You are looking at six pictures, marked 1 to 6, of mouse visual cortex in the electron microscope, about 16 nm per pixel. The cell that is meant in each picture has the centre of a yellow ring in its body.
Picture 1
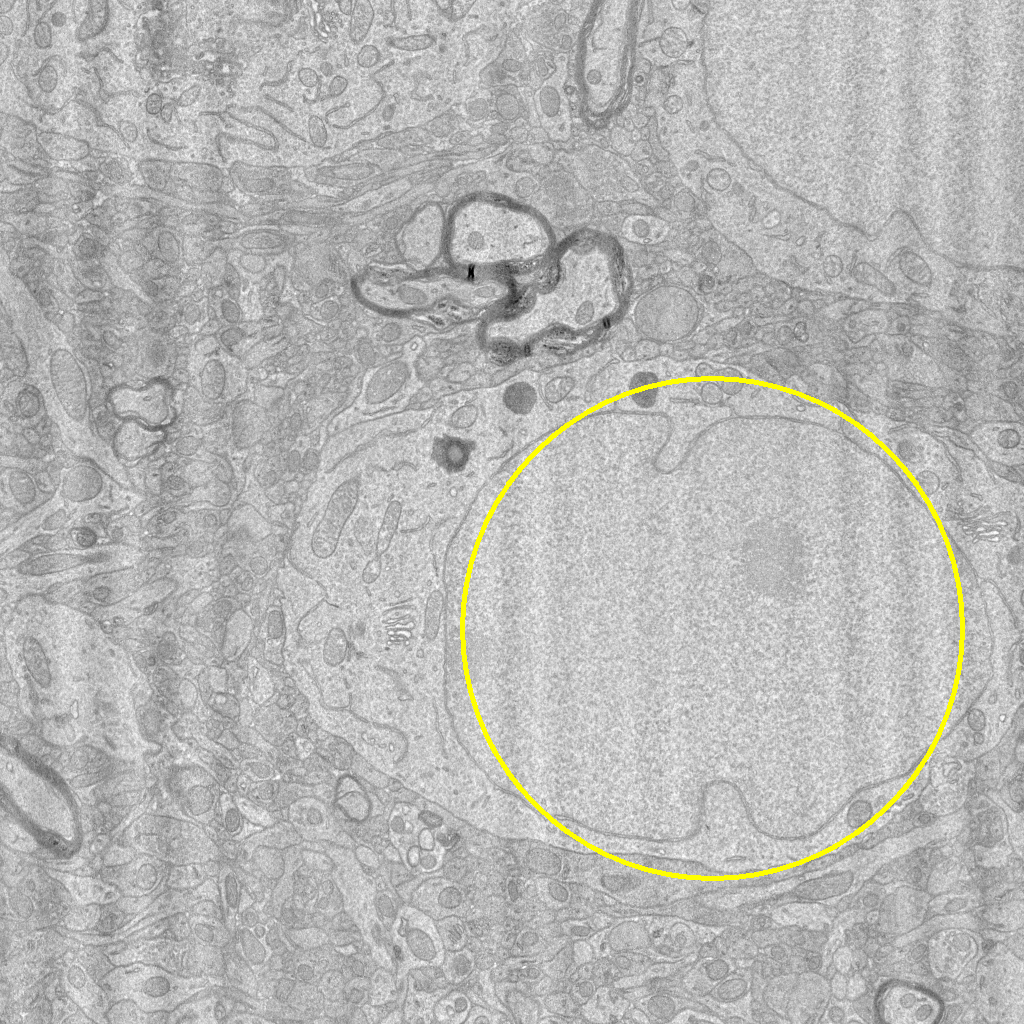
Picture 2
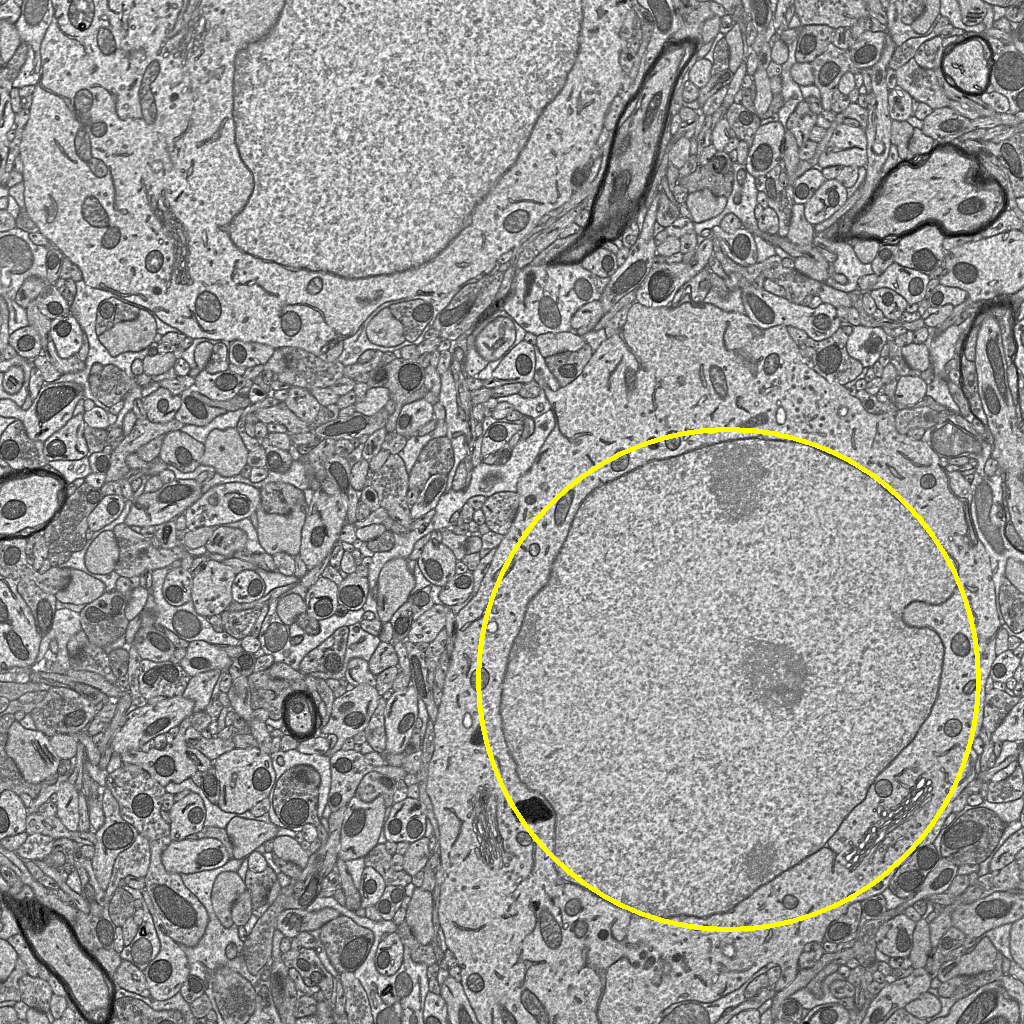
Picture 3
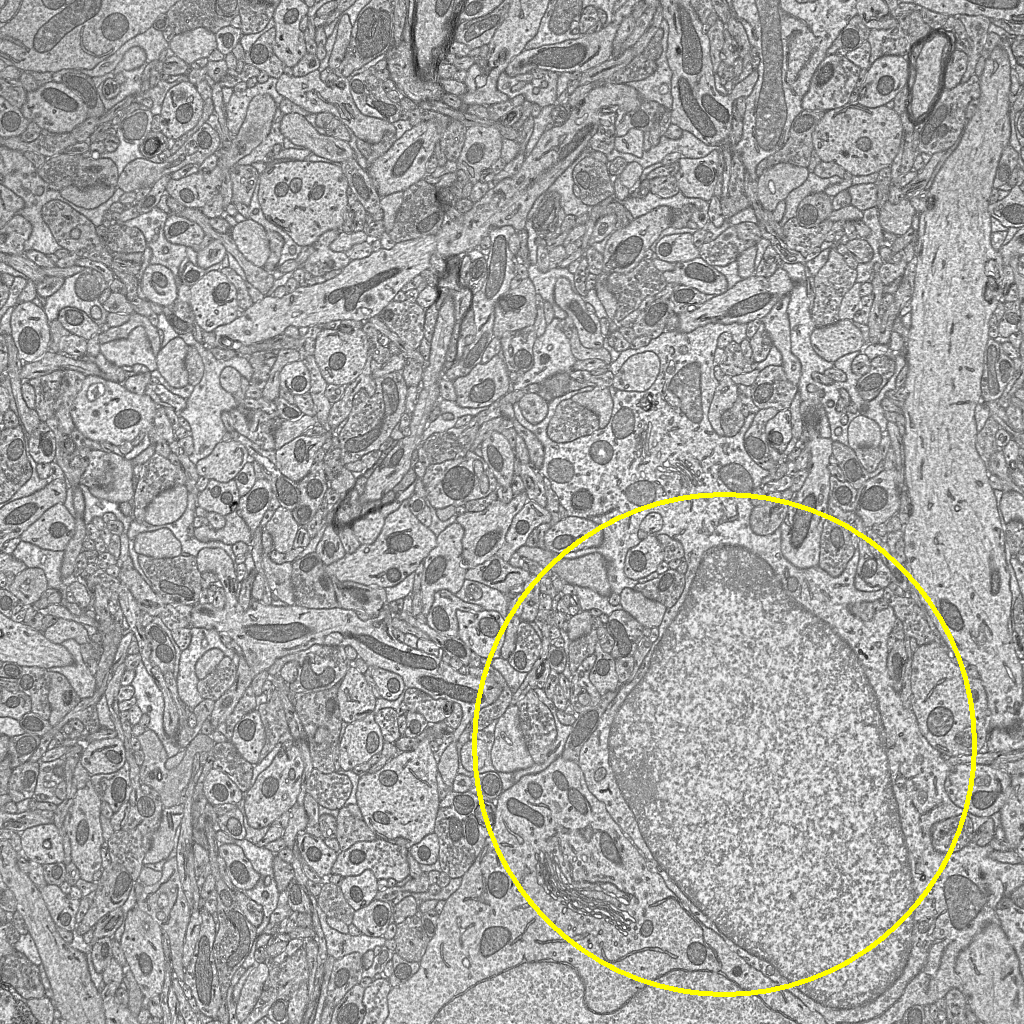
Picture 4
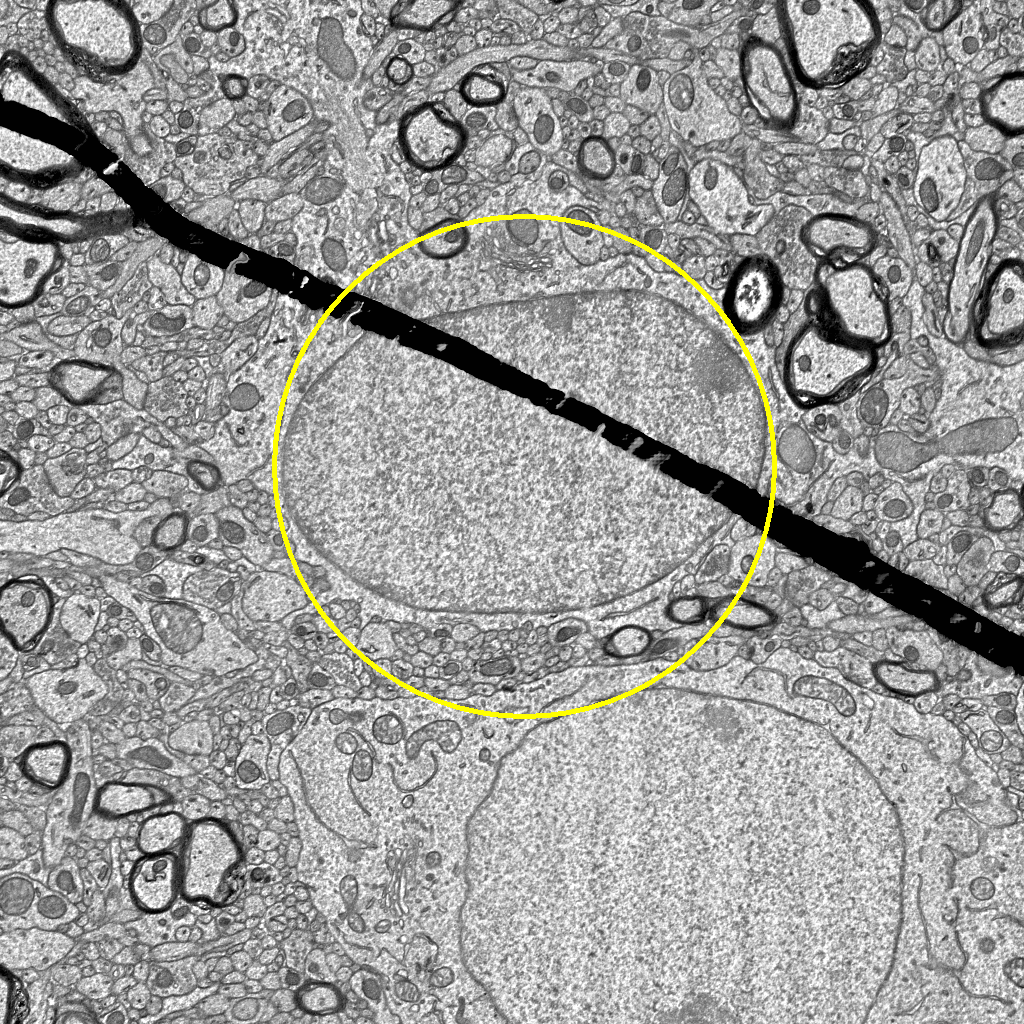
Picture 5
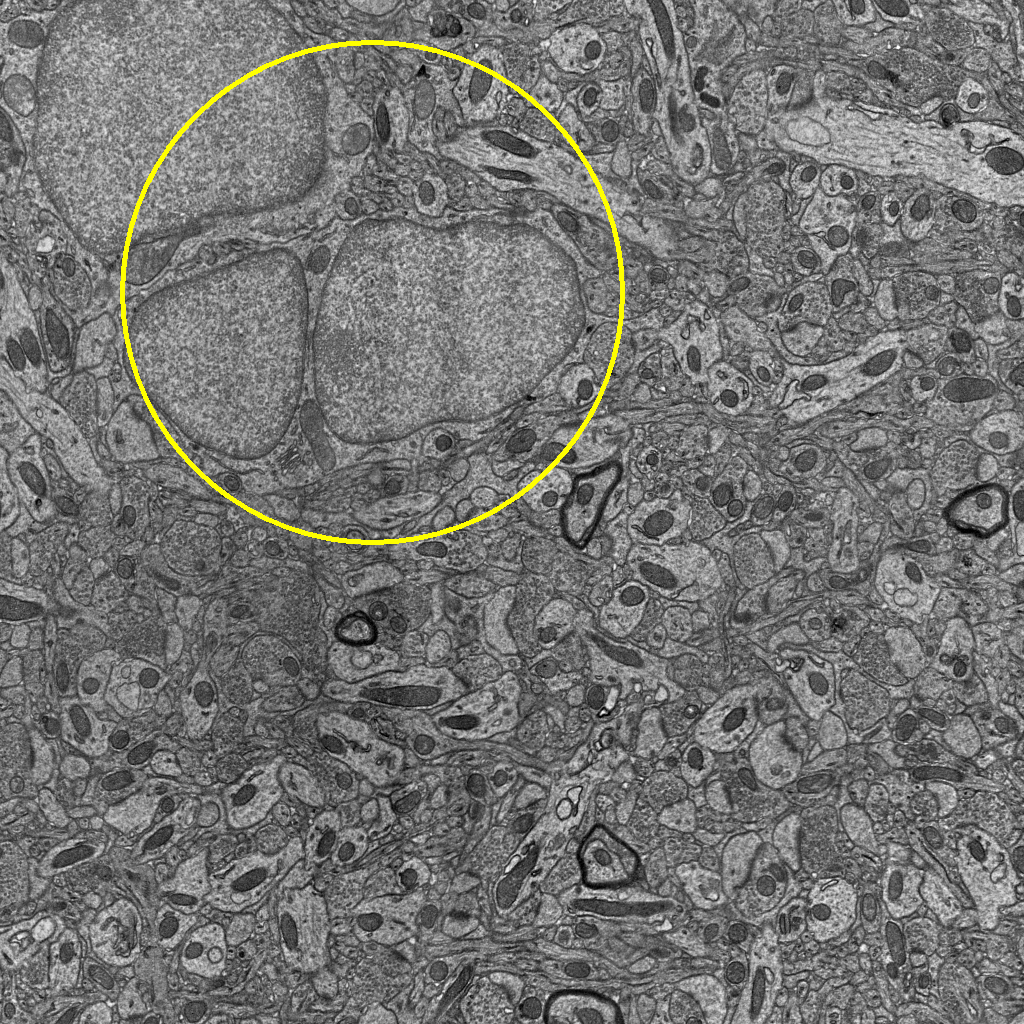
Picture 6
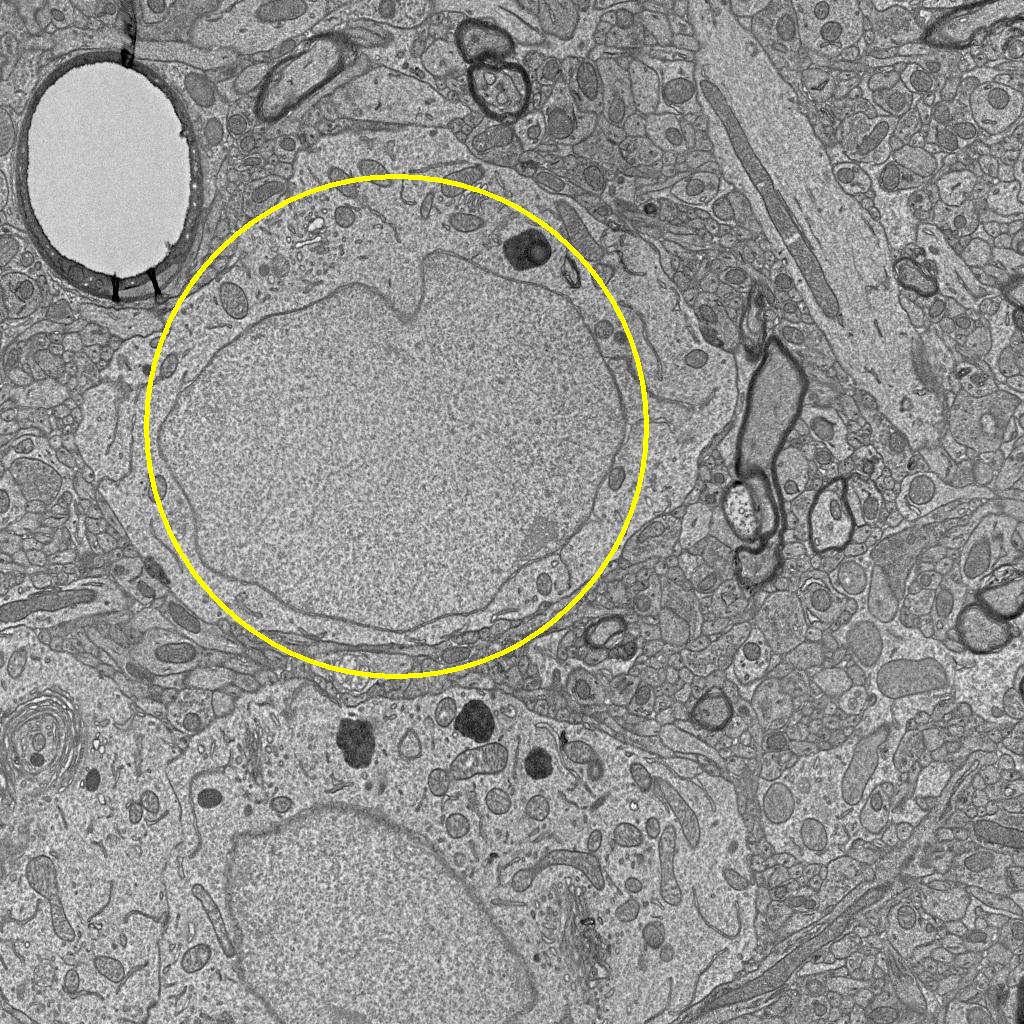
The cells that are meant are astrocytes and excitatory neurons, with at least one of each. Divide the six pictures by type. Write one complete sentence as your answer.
Pictures 3, 4 and 5 show astrocytes; pictures 1, 2 and 6 show excitatory neurons.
